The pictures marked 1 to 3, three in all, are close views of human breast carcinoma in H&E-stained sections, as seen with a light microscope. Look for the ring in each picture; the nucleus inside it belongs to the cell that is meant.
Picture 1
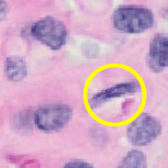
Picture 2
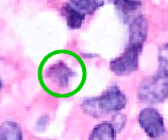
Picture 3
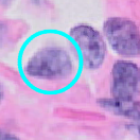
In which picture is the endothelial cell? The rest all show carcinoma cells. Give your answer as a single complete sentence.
The picture with the endothelial cell is 1.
